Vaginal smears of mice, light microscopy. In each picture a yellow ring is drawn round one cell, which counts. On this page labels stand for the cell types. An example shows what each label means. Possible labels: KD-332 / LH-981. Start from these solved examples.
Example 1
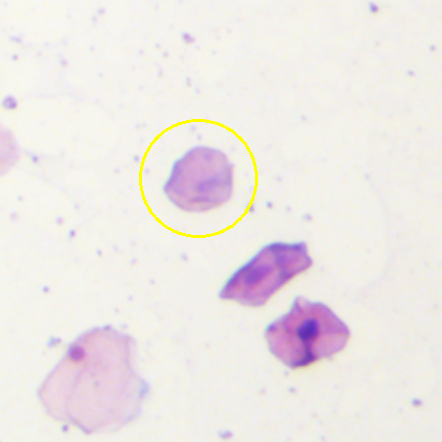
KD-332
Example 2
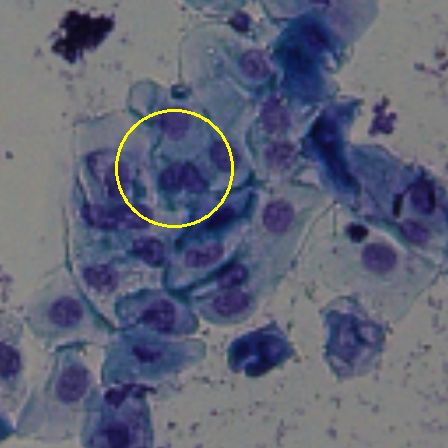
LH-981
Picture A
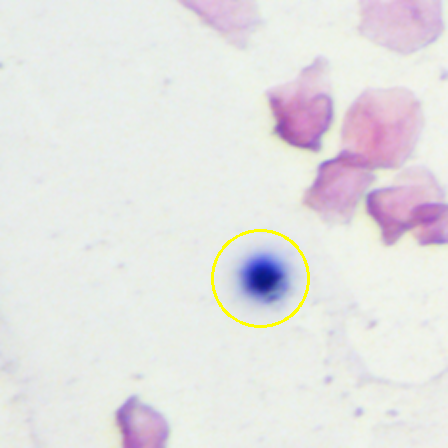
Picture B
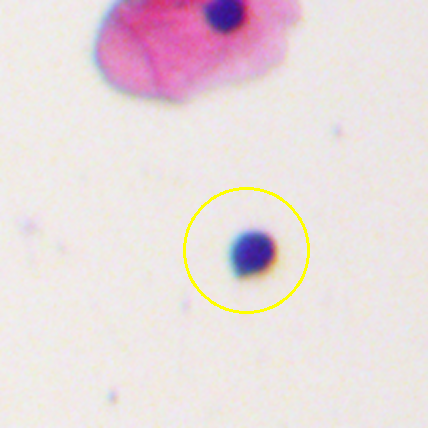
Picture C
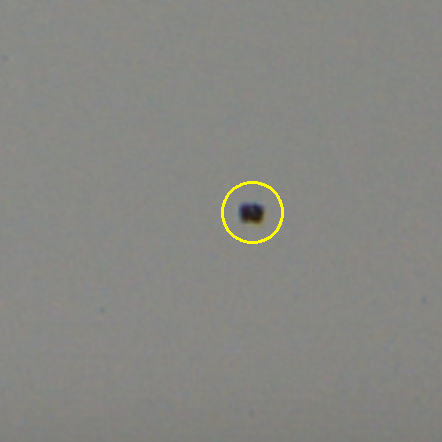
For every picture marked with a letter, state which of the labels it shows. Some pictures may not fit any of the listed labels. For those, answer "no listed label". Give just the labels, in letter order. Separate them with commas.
no listed label, no listed label, no listed label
